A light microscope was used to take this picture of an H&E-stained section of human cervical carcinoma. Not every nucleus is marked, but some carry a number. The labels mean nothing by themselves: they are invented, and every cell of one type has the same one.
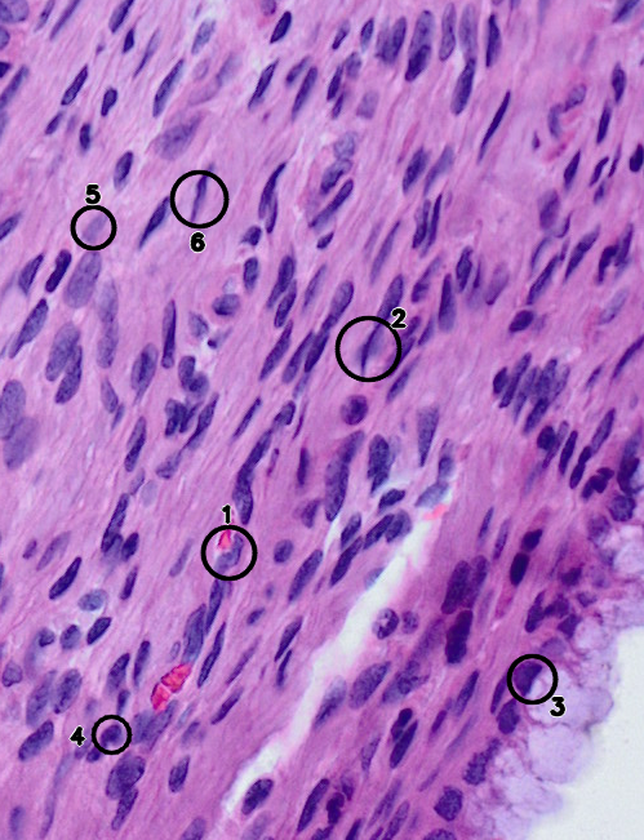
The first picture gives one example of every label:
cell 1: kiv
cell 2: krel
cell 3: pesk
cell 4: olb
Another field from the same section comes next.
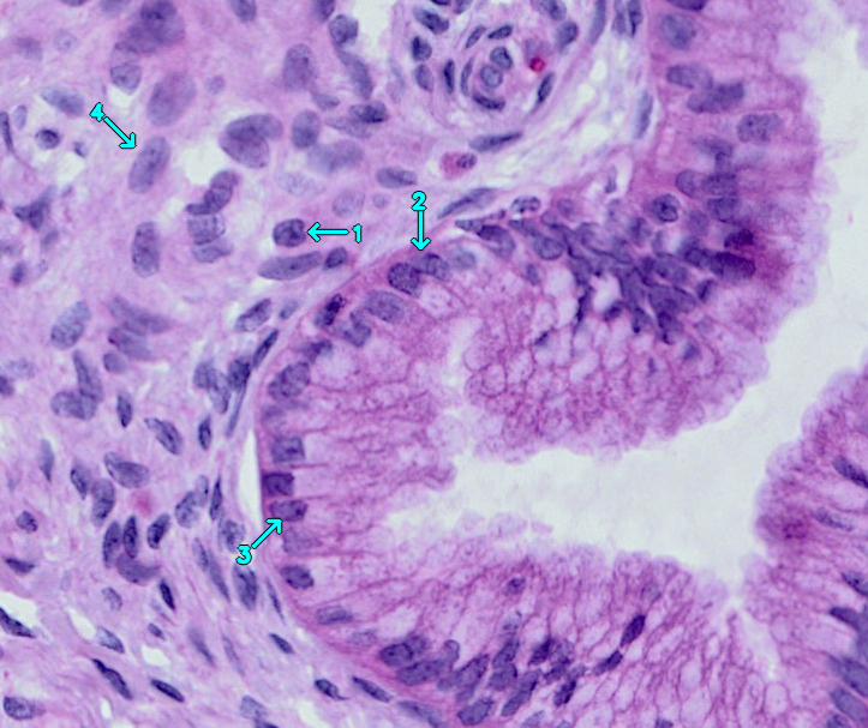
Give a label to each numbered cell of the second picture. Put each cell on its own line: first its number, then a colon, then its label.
1: olb
2: pesk
3: pesk
4: krel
